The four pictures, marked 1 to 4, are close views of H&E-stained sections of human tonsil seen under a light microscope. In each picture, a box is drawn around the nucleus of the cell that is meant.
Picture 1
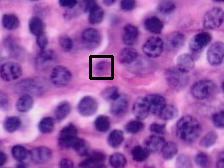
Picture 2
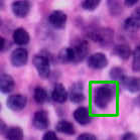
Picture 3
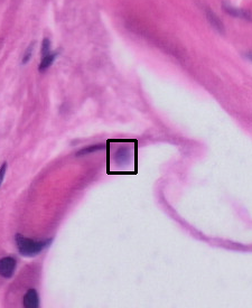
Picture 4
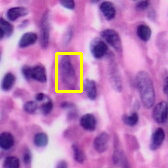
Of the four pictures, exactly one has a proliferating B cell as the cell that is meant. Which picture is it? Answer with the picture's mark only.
2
